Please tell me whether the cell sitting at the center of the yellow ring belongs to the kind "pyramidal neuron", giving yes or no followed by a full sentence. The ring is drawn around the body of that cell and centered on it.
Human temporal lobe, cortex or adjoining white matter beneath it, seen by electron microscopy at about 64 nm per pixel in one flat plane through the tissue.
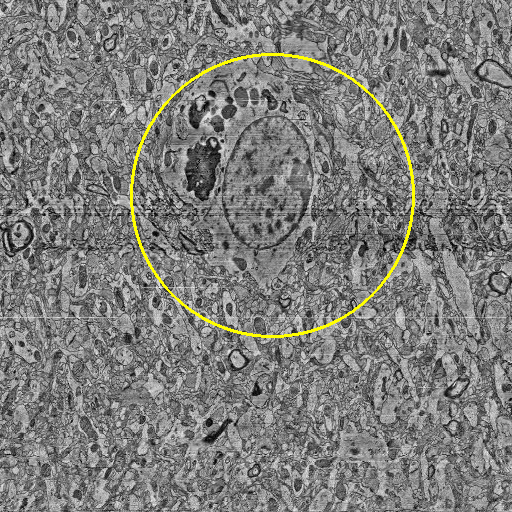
No, the cell at the center of the ring in the picture is of another kind.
